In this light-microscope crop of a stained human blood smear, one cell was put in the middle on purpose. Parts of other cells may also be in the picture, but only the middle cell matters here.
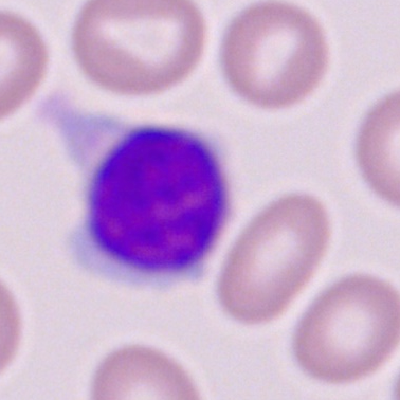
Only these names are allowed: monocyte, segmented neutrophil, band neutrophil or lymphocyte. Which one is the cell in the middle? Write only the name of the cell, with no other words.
lymphocyte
